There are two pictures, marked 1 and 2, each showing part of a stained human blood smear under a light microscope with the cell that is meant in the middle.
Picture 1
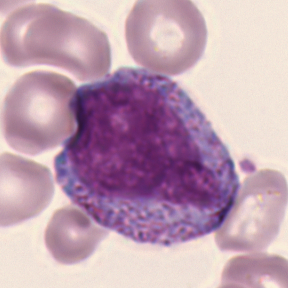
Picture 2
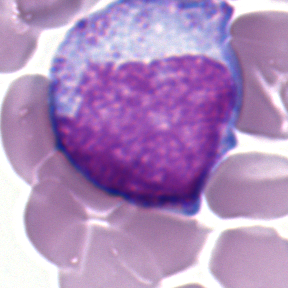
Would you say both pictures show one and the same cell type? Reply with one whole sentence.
Yes, they are the same type: both are promyelocytes.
